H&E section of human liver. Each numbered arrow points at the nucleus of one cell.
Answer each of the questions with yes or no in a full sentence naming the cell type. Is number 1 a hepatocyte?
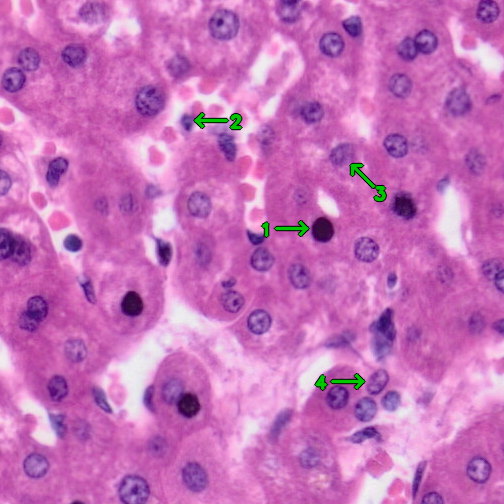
Yes, the numbered cell 1 is identified as a hepatocyte.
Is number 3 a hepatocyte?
Yes, what number 3 marks is a hepatocyte.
